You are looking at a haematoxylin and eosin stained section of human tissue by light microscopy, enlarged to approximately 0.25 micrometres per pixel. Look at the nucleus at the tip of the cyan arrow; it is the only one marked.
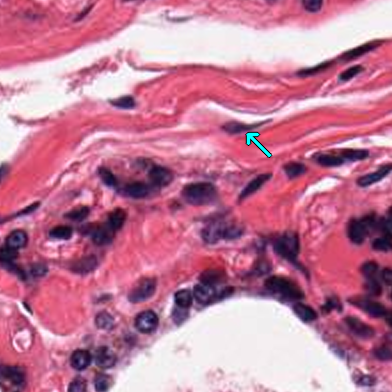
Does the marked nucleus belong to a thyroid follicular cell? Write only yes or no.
no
